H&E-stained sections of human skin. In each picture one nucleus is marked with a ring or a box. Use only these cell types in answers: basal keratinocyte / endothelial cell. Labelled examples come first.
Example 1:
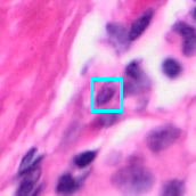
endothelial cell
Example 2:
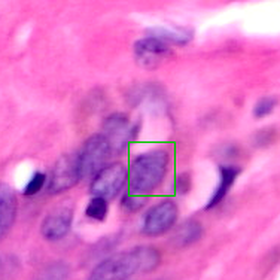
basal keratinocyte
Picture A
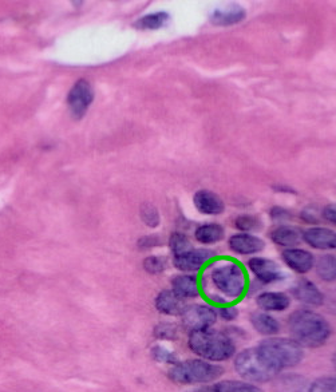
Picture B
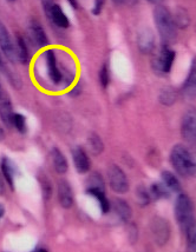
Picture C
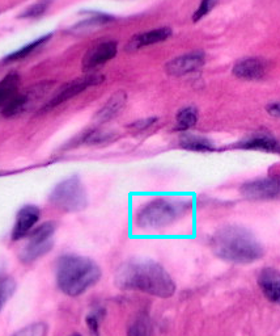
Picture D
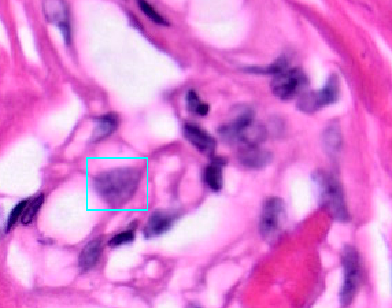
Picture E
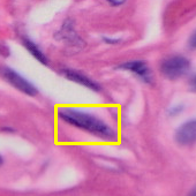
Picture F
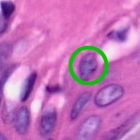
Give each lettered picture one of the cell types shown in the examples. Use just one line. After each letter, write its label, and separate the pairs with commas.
A basal keratinocyte, B basal keratinocyte, C endothelial cell, D endothelial cell, E endothelial cell, F basal keratinocyte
